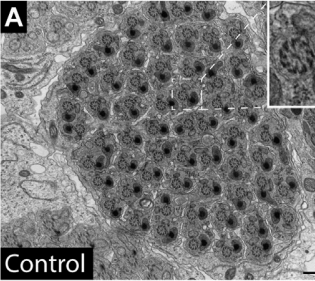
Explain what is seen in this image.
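This is a cross section through a cyst of elongating spermatids in the testis, cut across their tails. Dozens of nearly identical round profiles are packed side by side in a regular array, each wrapped in its own membrane. Each profile holds an axoneme, a ring of microtubule doublets, next to a small, very dark round mitochondrial derivative.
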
